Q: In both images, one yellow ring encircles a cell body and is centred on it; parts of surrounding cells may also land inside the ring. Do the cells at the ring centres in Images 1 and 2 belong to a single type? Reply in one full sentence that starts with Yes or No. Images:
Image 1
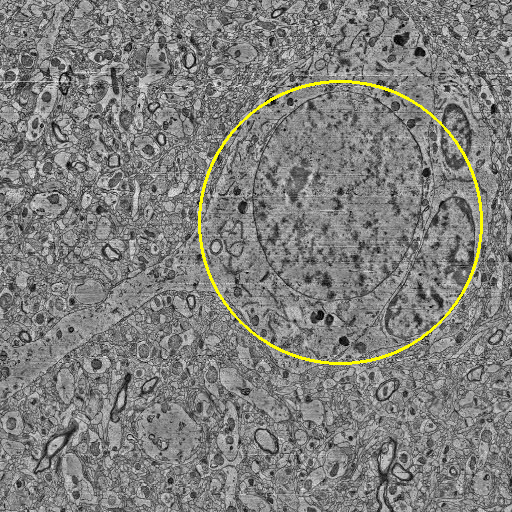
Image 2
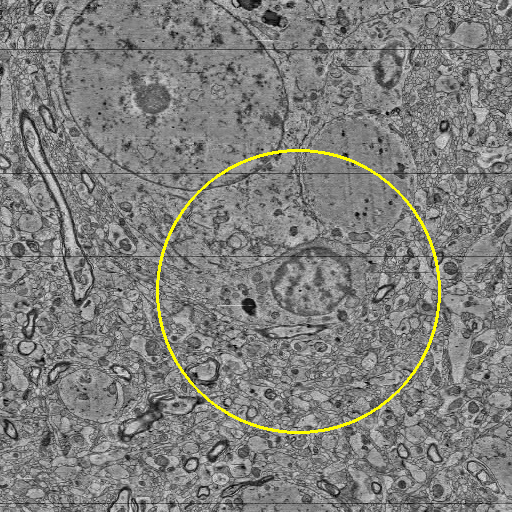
No, the cells at the ring centres in Images 1 and 2 are of two types.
